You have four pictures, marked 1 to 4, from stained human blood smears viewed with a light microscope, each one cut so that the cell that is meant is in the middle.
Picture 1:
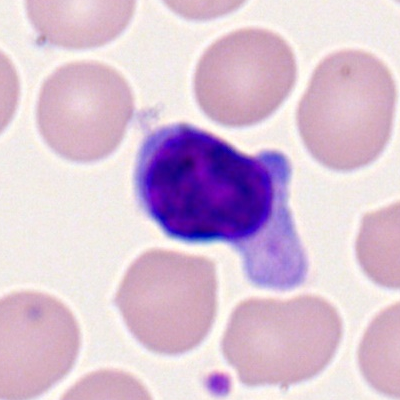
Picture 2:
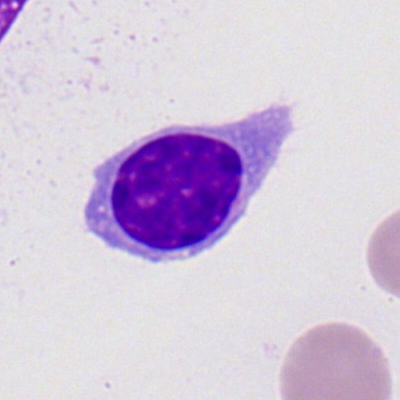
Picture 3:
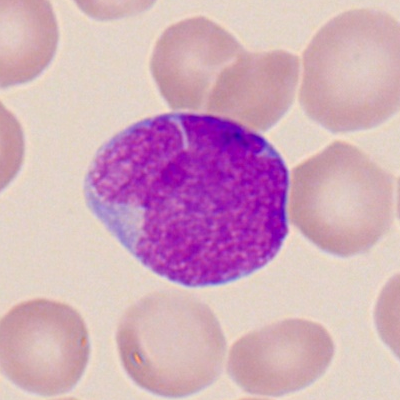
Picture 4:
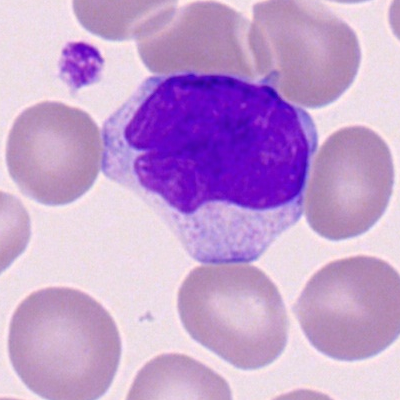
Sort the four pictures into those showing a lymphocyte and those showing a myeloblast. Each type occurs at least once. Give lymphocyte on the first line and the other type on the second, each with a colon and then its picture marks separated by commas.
lymphocyte: 1, 2, 4
myeloblast: 3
